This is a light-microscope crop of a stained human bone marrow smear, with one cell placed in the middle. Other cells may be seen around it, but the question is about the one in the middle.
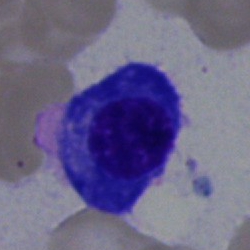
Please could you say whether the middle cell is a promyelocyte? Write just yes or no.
no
